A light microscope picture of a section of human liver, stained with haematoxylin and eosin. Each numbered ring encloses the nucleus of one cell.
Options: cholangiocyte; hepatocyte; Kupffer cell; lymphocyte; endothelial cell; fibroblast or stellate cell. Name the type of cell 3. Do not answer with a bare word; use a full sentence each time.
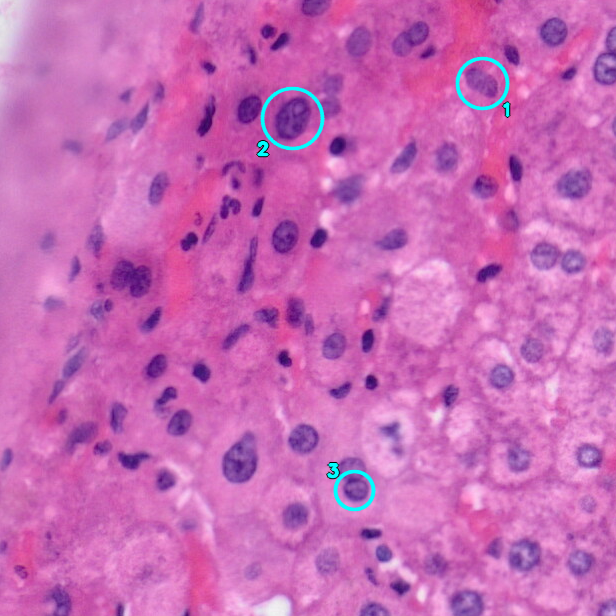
The cell that goes by number 3 is a hepatocyte.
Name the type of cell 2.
The mark numbered 2 indicates the nucleus of a hepatocyte.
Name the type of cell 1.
Here the cell numbered 1 is a Kupffer cell.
